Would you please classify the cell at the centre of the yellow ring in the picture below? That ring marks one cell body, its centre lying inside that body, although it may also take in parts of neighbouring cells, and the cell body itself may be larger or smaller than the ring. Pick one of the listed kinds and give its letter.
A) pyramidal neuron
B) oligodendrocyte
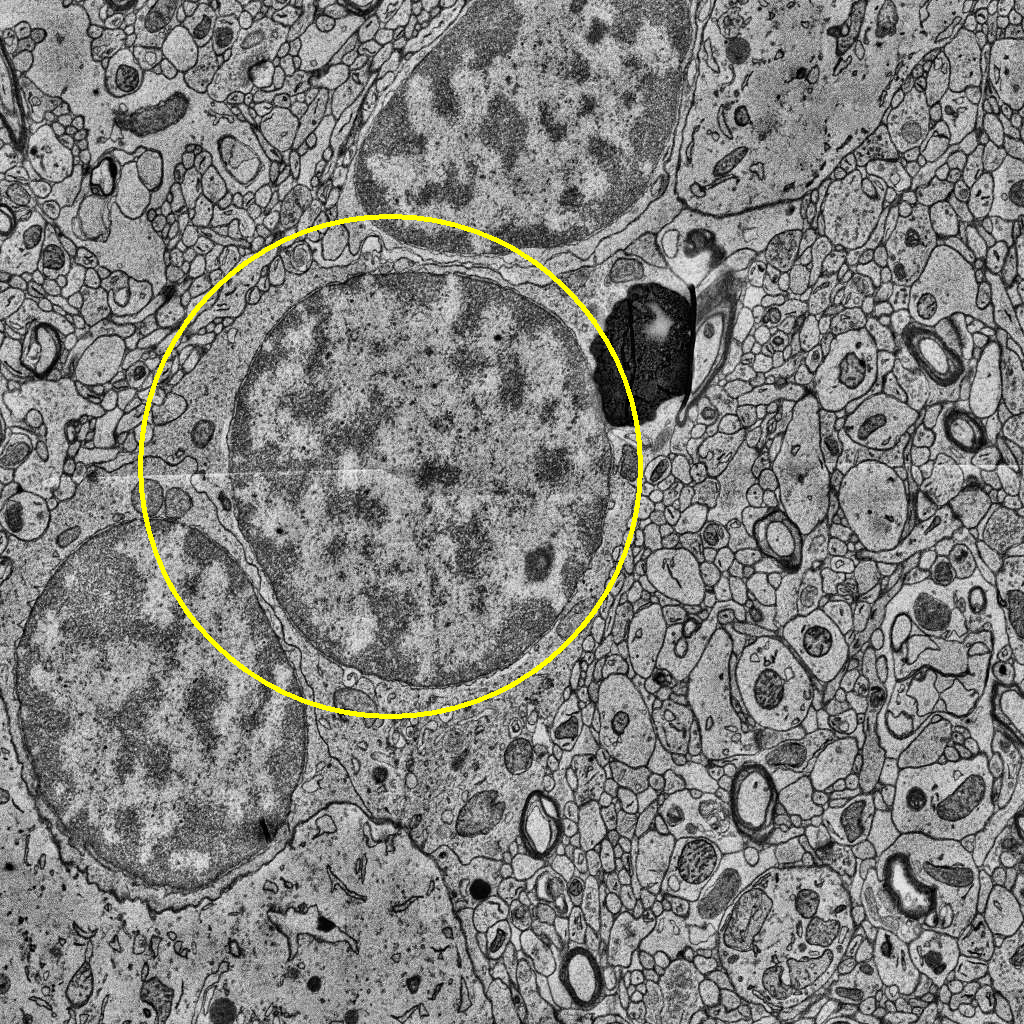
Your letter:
B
